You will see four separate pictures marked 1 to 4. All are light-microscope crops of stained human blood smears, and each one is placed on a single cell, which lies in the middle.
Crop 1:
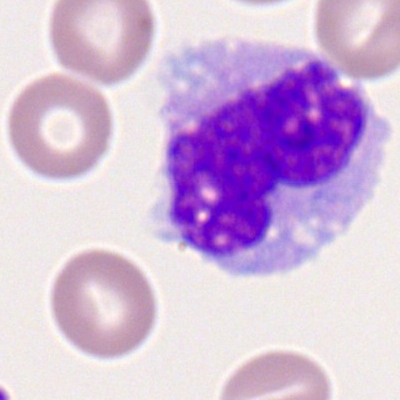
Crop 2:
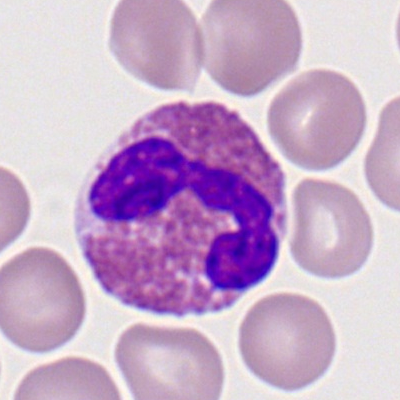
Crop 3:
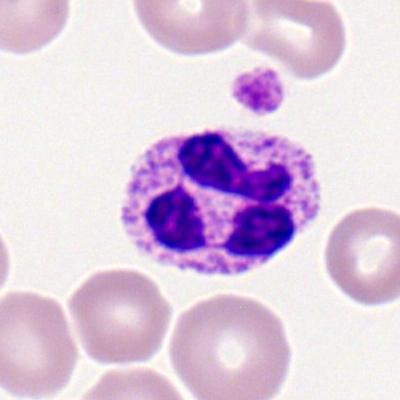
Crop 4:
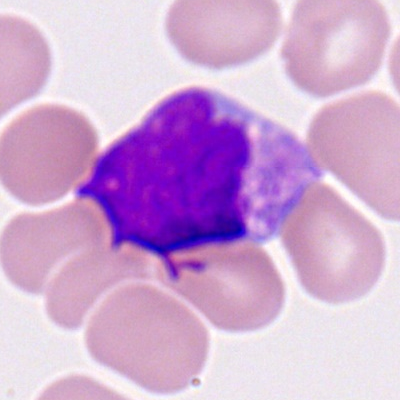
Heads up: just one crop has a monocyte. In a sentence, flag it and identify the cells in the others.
Crop 1 shows a monocyte, while in contrast crop 2 is an eosinophil, crop 3 is a neutrophil and crop 4 is a blast.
